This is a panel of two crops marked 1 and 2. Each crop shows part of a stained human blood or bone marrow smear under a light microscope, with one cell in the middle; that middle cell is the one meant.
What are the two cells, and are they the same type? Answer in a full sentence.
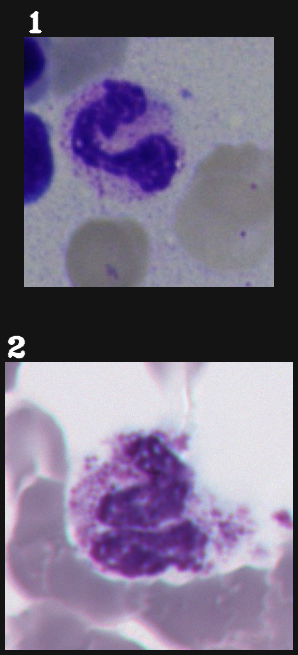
Yes, the cells in the centres of the two crops are segmented neutrophils.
